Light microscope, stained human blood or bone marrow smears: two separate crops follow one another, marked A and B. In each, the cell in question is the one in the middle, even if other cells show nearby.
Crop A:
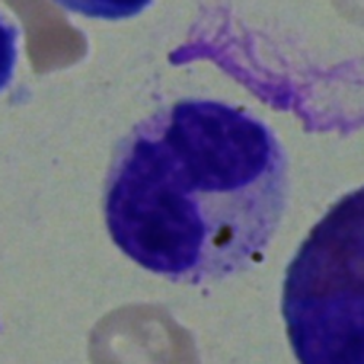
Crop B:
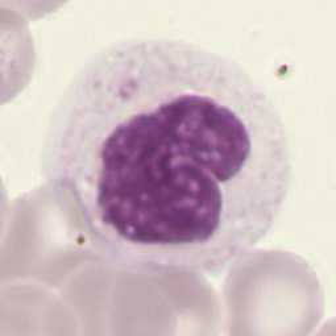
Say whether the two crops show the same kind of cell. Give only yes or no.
yes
